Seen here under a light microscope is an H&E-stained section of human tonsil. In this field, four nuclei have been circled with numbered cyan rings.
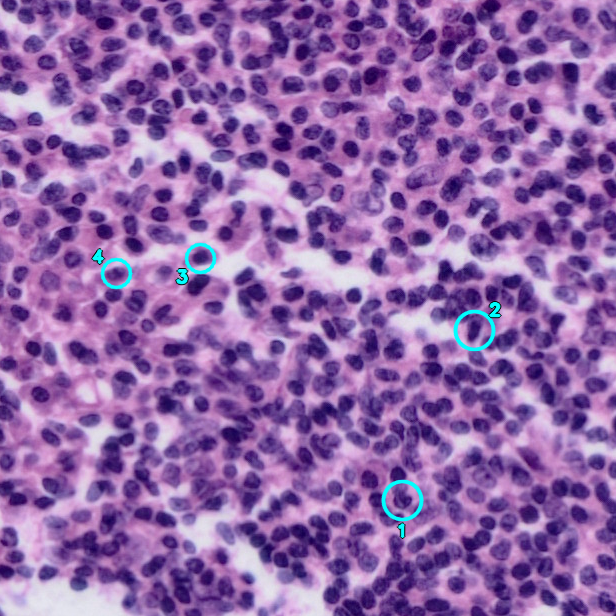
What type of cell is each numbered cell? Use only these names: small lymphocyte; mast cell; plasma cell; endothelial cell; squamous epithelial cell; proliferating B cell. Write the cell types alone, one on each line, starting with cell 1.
small lymphocyte
small lymphocyte
plasma cell
plasma cell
